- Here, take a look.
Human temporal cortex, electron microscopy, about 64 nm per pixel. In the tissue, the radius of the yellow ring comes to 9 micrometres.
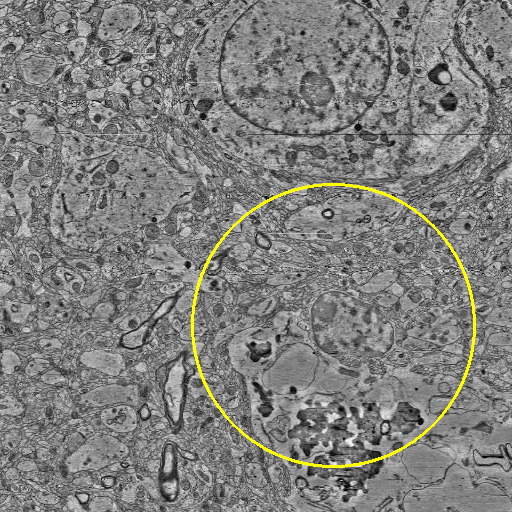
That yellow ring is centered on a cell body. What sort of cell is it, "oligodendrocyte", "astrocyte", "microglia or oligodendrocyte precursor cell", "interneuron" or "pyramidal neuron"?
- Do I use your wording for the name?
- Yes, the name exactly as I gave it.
microglia or oligodendrocyte precursor cell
